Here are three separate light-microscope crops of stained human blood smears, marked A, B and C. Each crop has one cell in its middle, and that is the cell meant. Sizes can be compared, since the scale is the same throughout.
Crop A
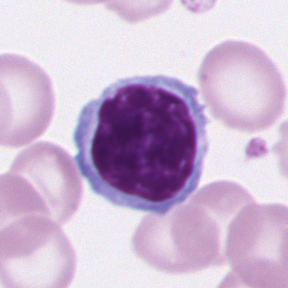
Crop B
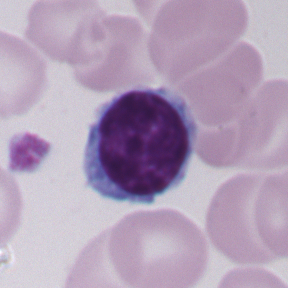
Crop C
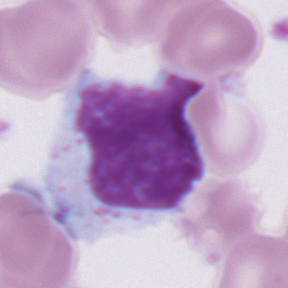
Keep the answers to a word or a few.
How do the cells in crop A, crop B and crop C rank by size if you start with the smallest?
B, A, C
